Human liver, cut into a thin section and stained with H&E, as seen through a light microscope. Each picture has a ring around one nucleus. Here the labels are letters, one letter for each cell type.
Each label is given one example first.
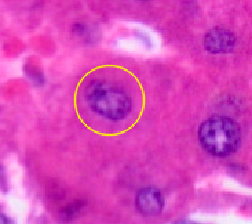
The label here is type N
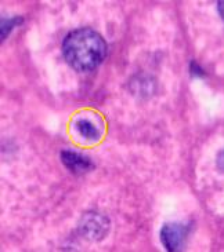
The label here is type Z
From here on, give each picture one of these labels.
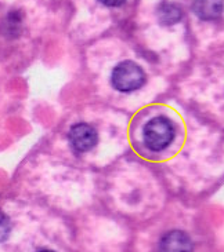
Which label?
type N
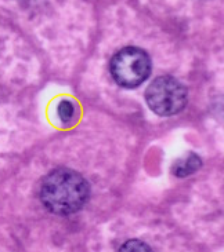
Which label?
type Z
